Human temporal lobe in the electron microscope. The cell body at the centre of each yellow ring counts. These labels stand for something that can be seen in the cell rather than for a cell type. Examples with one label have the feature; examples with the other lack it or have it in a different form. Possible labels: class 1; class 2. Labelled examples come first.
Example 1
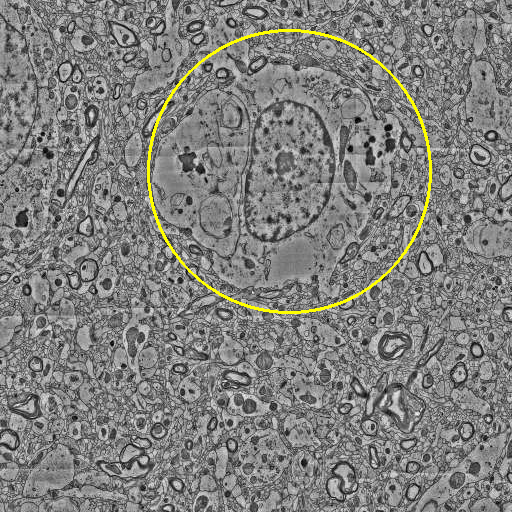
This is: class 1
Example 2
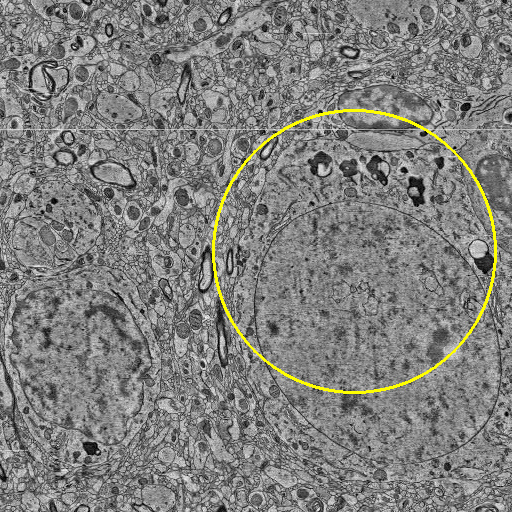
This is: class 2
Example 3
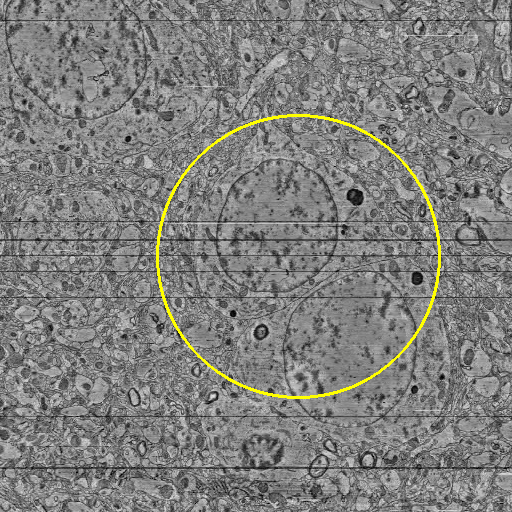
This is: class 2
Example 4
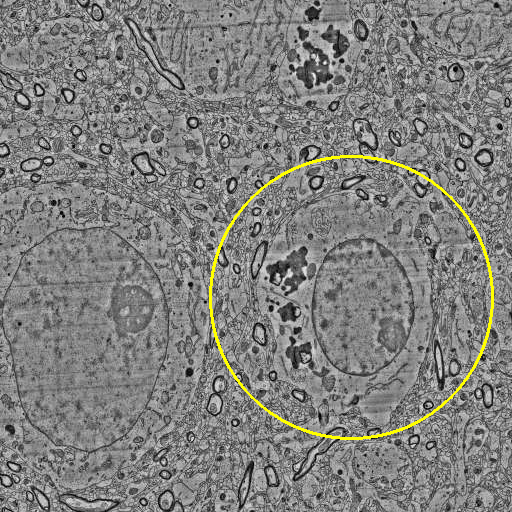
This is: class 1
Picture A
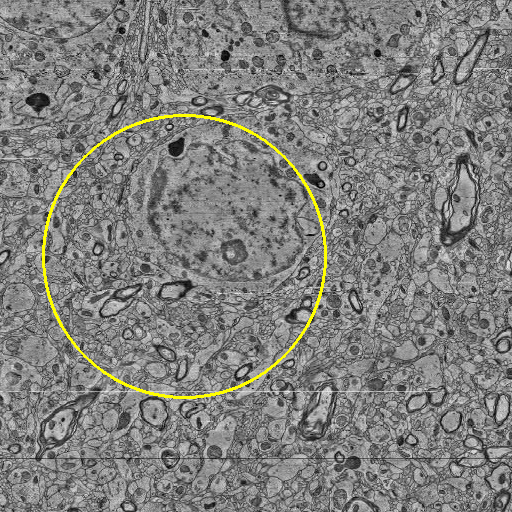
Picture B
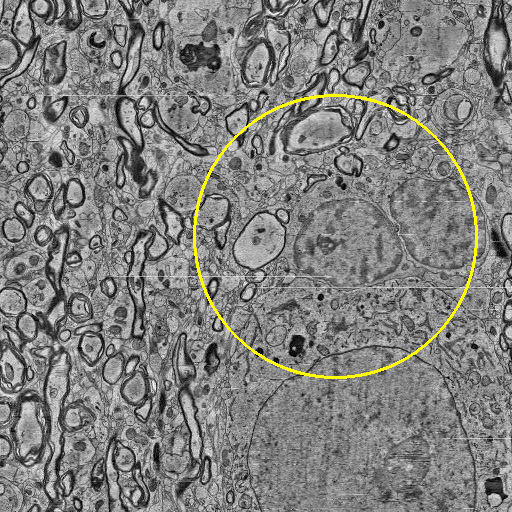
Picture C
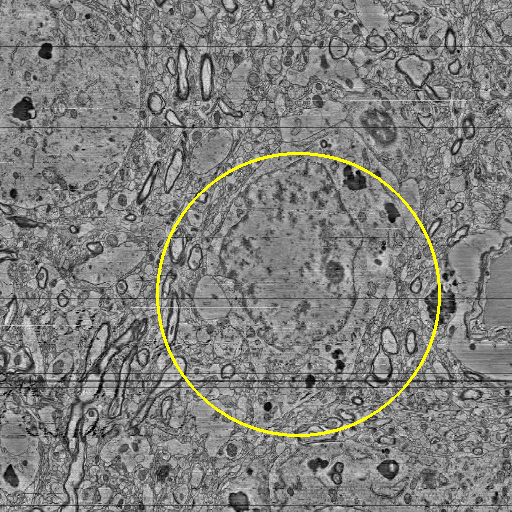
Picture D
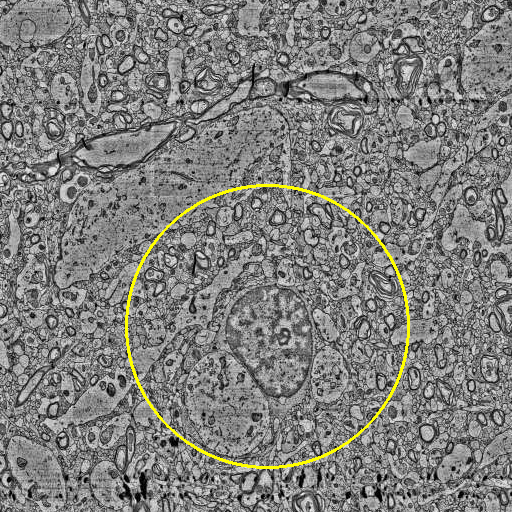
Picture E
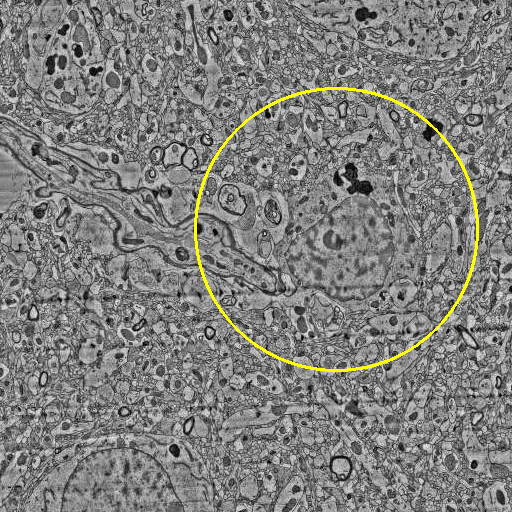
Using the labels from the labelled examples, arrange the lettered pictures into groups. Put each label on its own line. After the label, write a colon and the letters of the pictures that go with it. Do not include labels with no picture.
class 1: A, B, C, D, E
